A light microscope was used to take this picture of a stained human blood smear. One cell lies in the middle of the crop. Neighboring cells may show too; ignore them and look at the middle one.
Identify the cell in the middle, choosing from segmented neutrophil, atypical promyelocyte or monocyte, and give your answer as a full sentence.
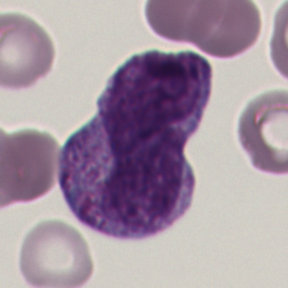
The central element of this crop is a cell, namely an atypical promyelocyte.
